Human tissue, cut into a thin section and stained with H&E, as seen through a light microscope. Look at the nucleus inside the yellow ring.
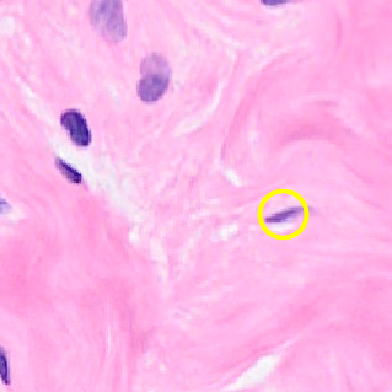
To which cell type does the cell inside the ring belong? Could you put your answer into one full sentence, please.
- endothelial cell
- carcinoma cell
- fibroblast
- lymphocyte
It is as a fibroblast that the cell inside the ring is recorded.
